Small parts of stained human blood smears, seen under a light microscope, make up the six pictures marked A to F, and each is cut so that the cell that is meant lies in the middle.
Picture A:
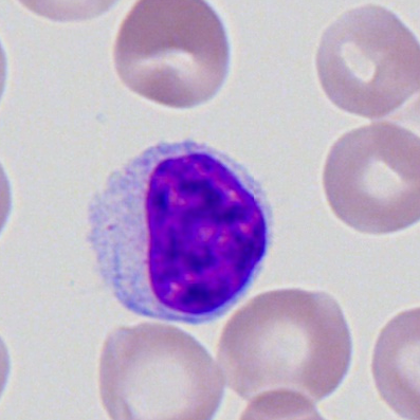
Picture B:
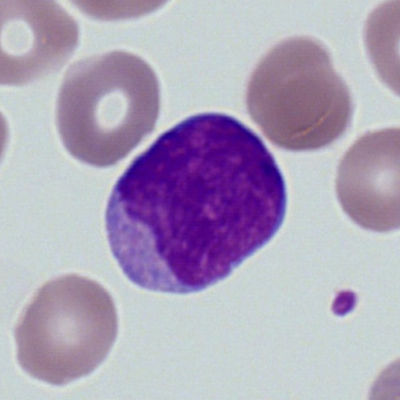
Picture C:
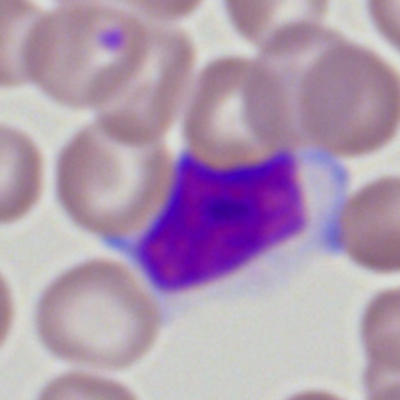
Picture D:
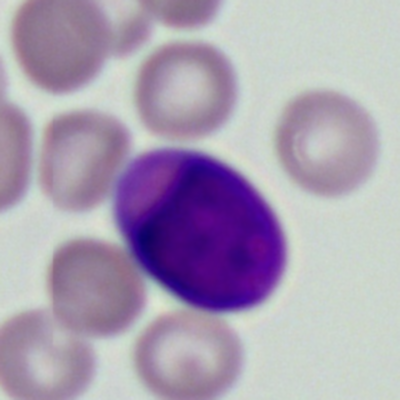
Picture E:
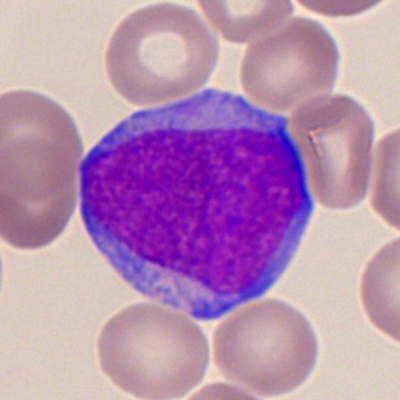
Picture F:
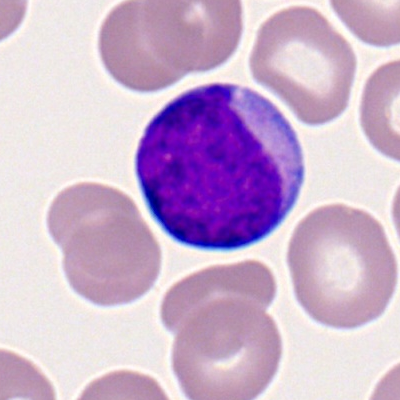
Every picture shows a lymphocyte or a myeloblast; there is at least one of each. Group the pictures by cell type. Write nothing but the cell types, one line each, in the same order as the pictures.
lymphocyte
myeloblast
lymphocyte
myeloblast
myeloblast
myeloblast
